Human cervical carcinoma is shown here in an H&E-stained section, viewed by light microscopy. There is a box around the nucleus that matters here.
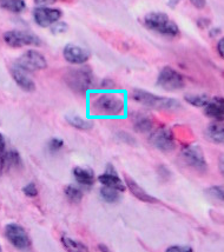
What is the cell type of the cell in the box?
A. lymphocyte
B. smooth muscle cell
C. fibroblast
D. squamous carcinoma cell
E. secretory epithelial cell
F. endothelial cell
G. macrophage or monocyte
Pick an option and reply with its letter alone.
F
